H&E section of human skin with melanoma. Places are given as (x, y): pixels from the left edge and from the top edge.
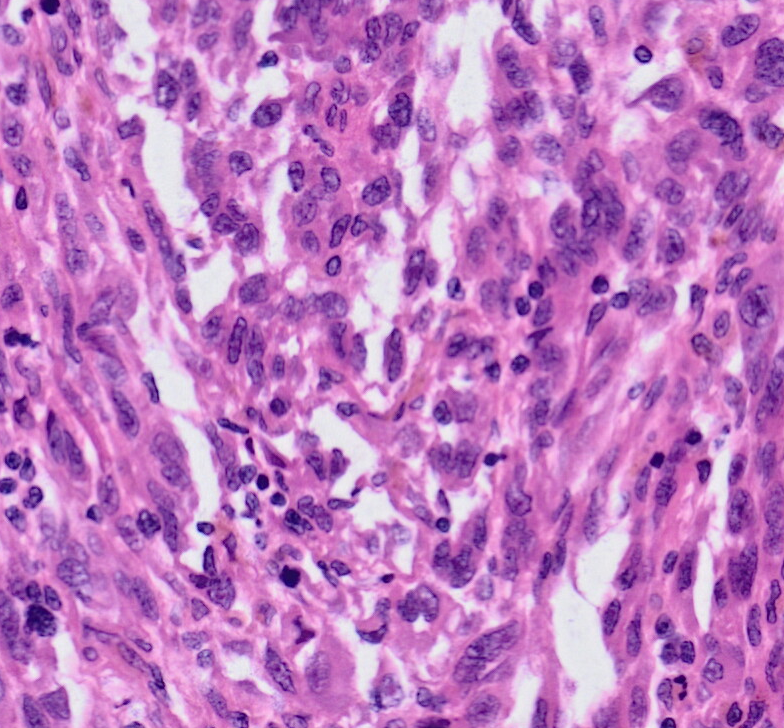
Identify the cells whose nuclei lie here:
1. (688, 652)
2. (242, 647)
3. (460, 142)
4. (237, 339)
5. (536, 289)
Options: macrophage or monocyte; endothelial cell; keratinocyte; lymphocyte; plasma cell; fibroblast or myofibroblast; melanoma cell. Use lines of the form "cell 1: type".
cell 1: lymphocyte
cell 2: melanoma cell
cell 3: melanoma cell
cell 4: melanoma cell
cell 5: lymphocyte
